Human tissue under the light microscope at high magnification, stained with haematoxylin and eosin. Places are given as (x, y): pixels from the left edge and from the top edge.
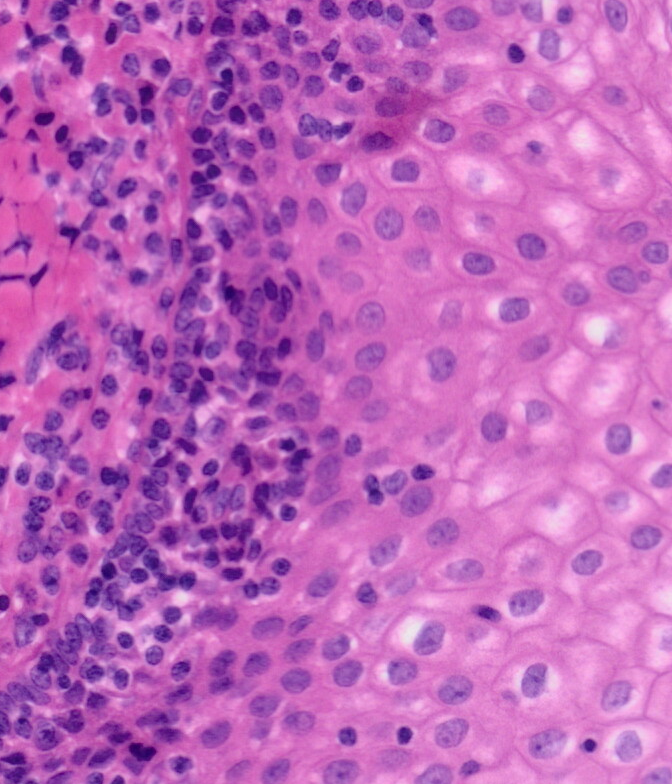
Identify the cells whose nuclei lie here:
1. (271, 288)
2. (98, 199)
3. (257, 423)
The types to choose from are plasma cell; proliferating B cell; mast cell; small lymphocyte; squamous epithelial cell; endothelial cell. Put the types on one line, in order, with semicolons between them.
squamous epithelial cell; plasma cell; squamous epithelial cell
